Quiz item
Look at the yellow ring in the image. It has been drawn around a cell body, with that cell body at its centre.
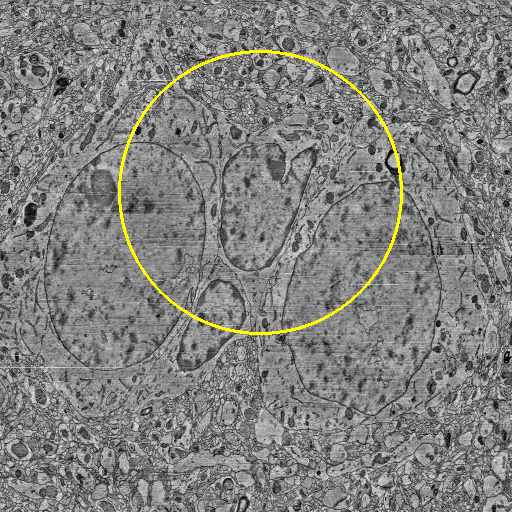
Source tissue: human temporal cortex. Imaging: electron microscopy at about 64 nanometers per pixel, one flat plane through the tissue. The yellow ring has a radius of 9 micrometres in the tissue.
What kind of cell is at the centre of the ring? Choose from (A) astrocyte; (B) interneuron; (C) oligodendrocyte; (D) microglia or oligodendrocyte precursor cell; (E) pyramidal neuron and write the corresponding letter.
D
